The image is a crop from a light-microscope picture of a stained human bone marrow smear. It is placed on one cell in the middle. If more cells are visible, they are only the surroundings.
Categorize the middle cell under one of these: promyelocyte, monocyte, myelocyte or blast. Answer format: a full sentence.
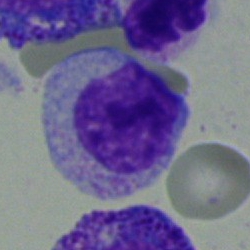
This crop is built around a myelocyte at its centre.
